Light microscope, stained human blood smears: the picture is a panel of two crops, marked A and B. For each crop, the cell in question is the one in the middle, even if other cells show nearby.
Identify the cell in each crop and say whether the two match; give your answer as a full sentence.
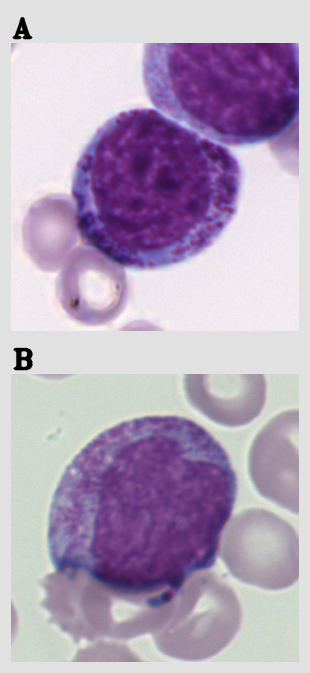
Yes, the central cells in both of the crops are promyelocytes.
